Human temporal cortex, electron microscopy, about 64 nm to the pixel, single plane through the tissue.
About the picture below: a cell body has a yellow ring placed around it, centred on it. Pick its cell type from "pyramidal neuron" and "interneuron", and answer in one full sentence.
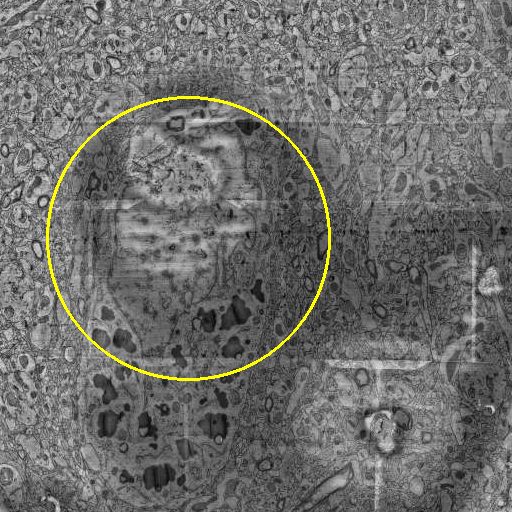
In the picture, an interneuron is the cell sitting at the centre of the yellow ring.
